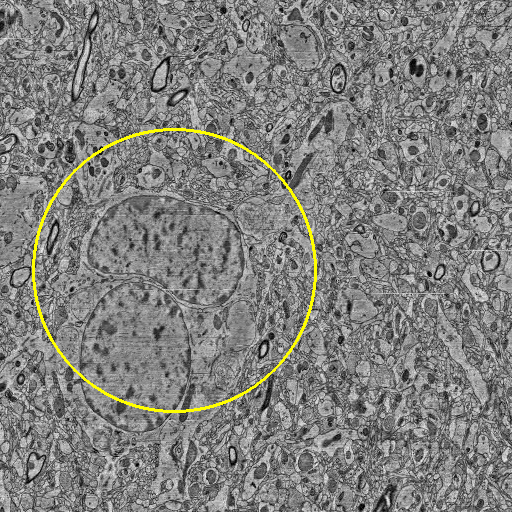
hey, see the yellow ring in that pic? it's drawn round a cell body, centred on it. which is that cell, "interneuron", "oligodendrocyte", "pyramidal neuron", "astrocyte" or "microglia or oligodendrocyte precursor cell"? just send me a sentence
The cell in the ring is a microglial cell or oligodendrocyte precursor cell.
